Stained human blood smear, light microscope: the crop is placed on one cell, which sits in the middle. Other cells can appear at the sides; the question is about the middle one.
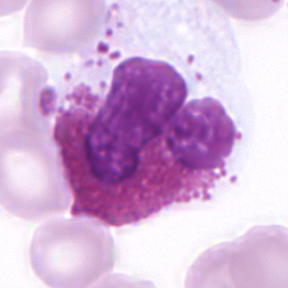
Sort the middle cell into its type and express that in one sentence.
The cell found in the middle of this crop is an eosinophil.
